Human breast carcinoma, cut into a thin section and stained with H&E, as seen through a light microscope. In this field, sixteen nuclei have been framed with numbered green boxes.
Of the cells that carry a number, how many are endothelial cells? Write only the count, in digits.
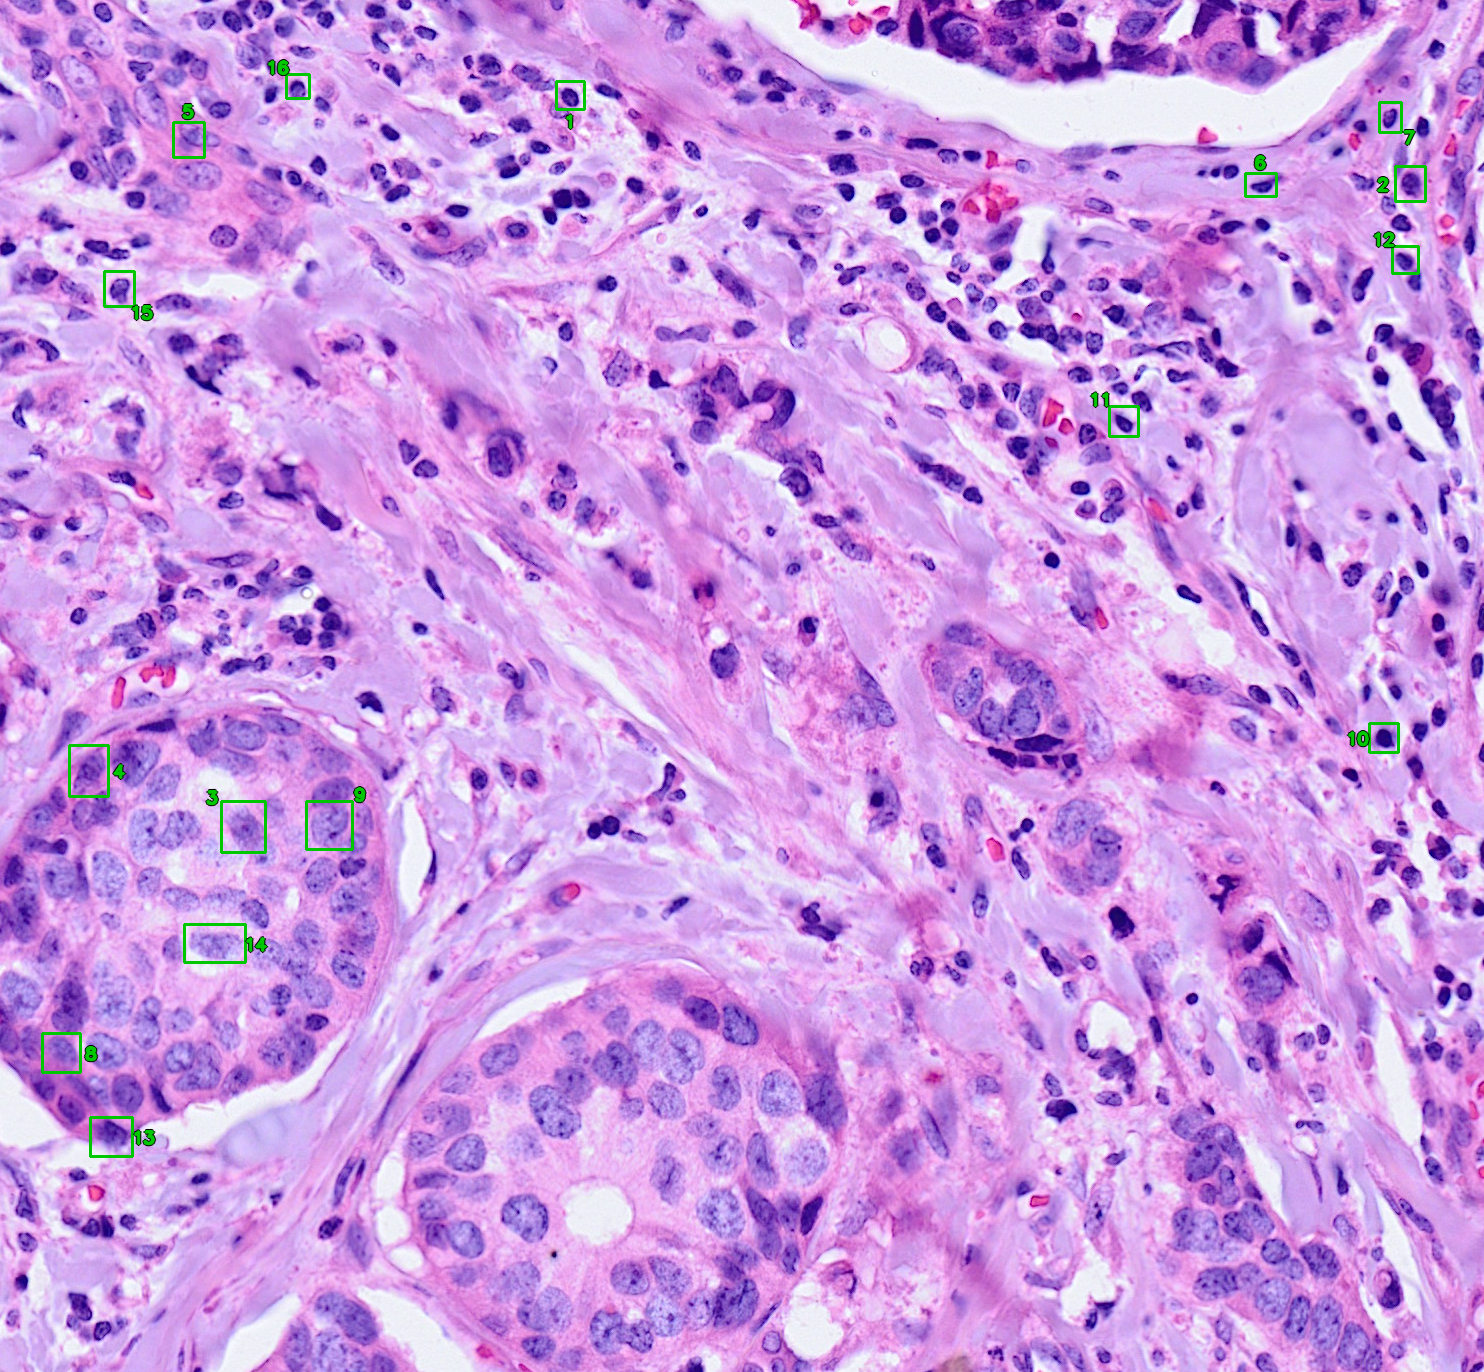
1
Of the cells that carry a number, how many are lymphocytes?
9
